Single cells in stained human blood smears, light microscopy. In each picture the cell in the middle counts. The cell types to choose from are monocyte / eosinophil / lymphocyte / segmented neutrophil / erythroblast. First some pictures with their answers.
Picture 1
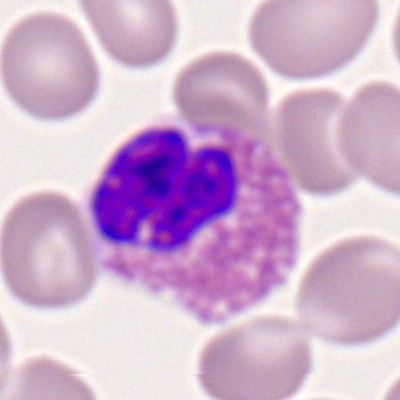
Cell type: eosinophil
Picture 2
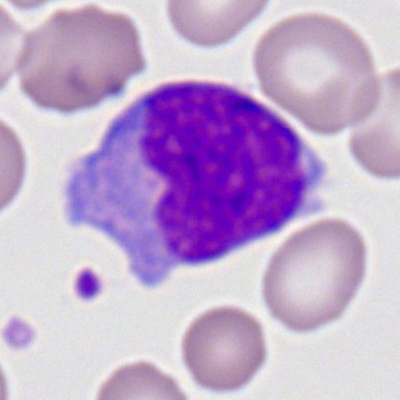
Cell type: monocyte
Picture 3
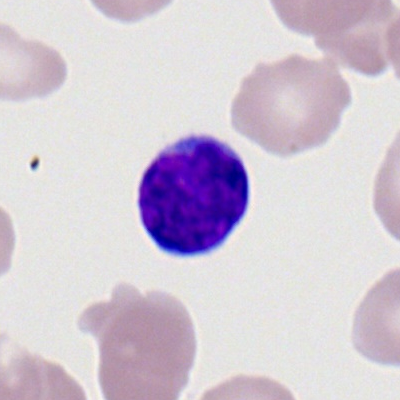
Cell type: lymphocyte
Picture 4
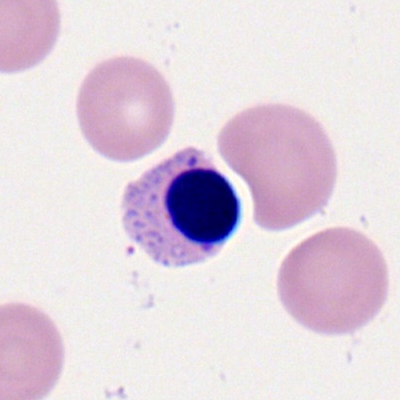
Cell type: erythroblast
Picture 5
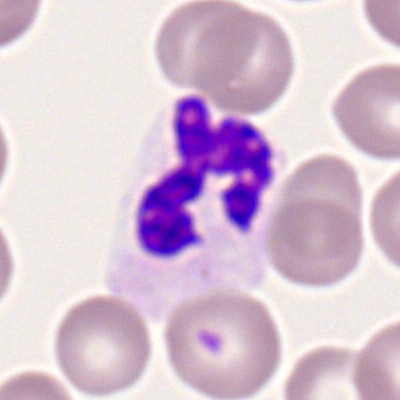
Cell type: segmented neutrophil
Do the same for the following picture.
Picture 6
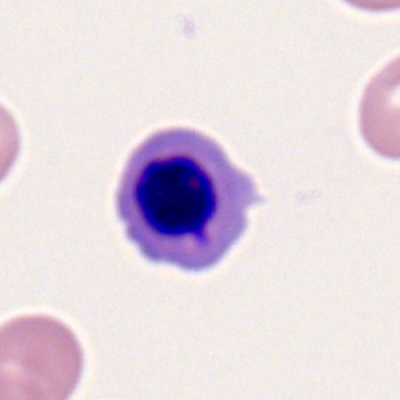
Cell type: erythroblast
